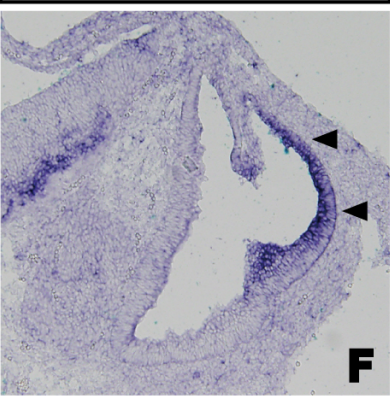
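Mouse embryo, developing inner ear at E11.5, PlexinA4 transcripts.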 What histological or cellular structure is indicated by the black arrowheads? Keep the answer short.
otocyst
